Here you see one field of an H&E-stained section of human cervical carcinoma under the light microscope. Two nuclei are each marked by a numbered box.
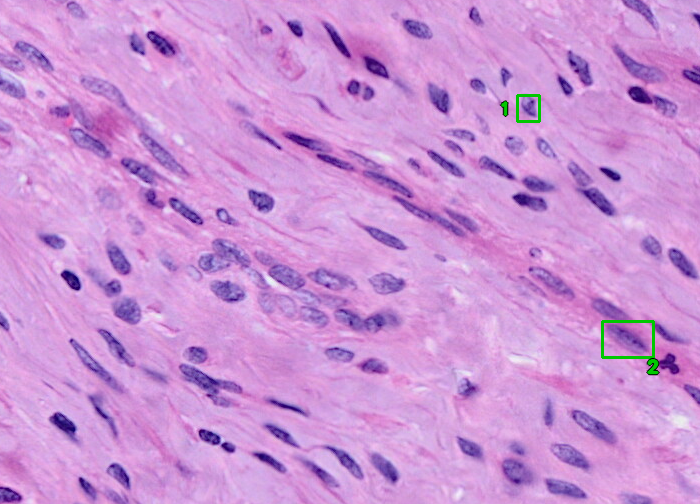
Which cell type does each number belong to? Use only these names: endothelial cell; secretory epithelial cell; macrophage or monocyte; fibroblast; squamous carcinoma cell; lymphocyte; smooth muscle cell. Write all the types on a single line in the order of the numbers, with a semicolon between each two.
fibroblast; endothelial cell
